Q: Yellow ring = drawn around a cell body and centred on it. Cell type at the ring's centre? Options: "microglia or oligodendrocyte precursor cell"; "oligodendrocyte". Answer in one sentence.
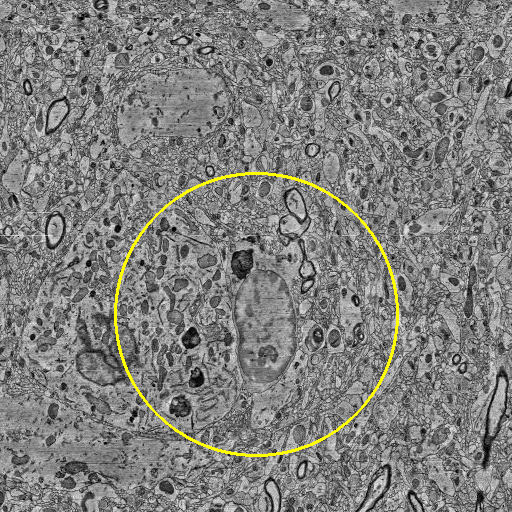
Centred in the ring is an oligodendrocyte.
